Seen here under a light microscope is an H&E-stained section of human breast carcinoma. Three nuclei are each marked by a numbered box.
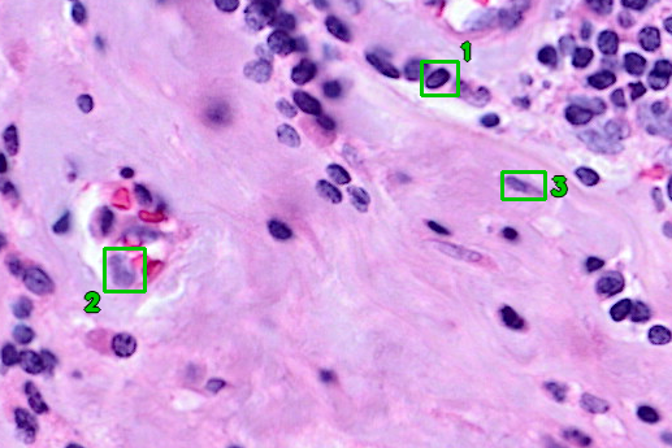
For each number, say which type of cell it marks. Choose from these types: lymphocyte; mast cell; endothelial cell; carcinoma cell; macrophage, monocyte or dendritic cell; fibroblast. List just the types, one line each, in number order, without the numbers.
lymphocyte
endothelial cell
fibroblast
